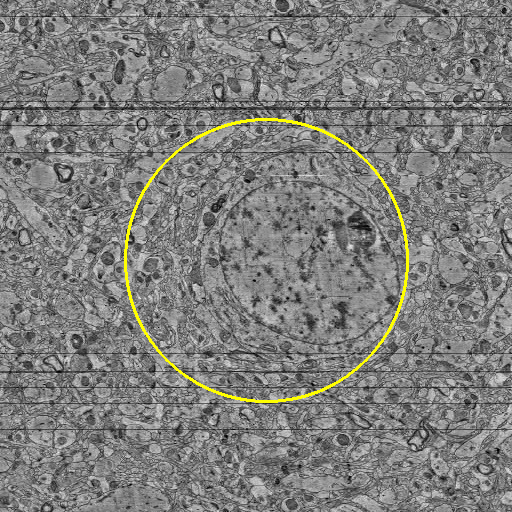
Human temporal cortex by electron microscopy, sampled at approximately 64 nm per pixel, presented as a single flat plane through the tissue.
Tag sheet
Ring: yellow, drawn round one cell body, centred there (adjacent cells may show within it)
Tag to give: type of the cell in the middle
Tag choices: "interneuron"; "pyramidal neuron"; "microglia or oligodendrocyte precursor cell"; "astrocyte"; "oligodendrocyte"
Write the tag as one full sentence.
I tag the cell centred in the yellow ring as a pyramidal neuron in this picture.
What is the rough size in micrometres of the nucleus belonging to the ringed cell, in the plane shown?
The nucleus of the ringed cell is approximately 12 by 10 micrometres in this plane.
